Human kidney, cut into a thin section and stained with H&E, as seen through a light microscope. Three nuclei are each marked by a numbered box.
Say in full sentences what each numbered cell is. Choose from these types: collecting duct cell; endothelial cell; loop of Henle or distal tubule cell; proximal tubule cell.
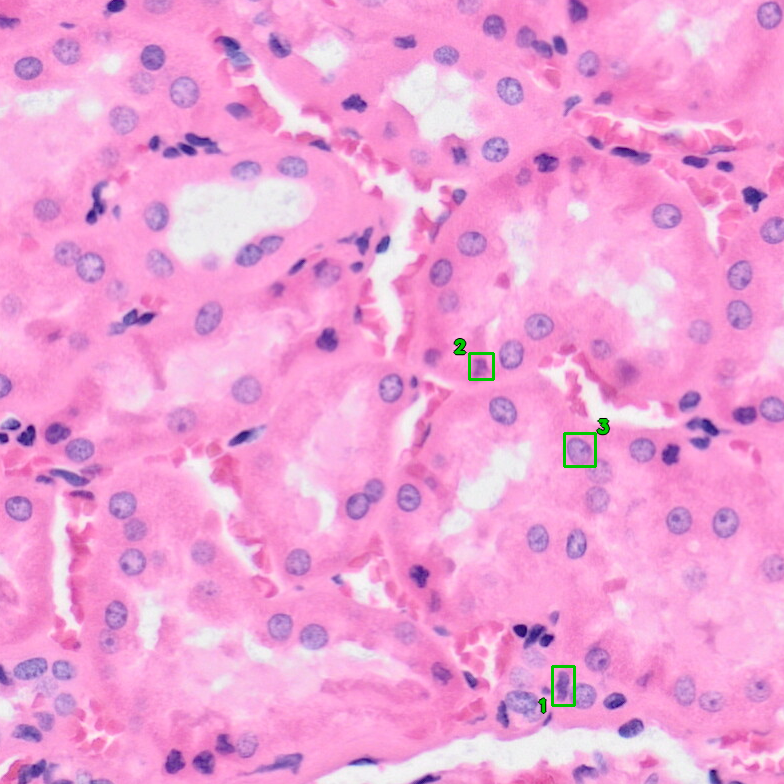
Cell 1 is a collecting duct cell, cell 2 is a proximal tubule cell and cell 3 is a proximal tubule cell.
